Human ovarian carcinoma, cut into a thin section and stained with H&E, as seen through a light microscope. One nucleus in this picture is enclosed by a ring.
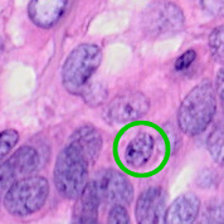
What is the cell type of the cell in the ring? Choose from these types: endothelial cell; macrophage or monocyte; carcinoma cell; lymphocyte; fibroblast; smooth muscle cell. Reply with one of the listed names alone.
macrophage or monocyte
